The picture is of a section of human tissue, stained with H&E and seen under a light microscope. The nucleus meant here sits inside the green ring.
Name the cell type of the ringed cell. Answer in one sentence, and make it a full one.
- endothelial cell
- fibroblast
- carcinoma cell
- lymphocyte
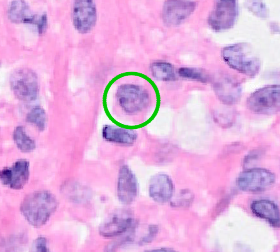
In this field of tissue, the ringed cell is a carcinoma cell.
